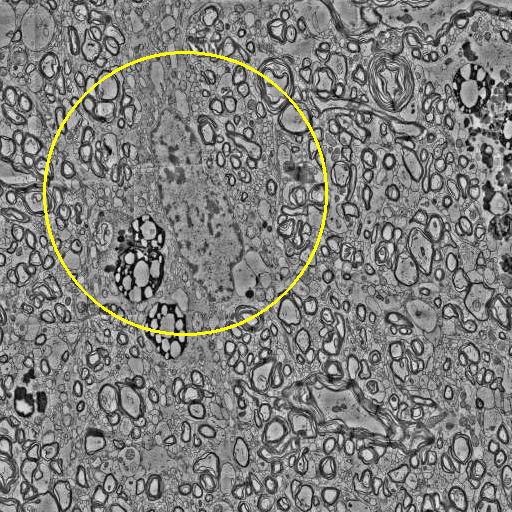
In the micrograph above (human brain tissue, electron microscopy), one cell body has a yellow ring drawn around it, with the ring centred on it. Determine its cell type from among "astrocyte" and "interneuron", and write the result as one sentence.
The cell whose body is ringed is an astrocyte.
